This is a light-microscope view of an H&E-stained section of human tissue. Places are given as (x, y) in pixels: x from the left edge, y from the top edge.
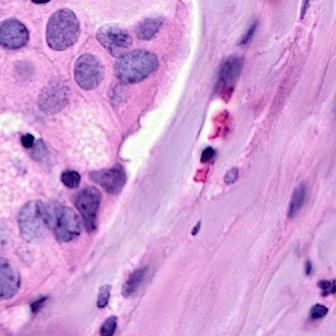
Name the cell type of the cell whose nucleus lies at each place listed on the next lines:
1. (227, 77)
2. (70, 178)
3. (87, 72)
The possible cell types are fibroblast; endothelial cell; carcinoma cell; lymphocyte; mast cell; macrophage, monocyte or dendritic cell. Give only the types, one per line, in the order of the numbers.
endothelial cell
lymphocyte
carcinoma cell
